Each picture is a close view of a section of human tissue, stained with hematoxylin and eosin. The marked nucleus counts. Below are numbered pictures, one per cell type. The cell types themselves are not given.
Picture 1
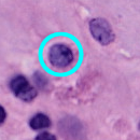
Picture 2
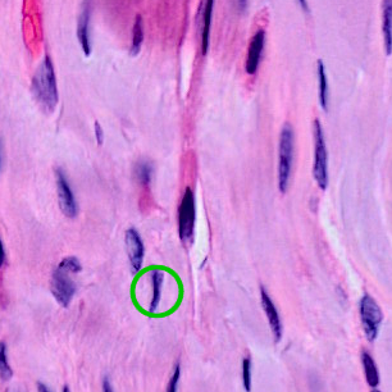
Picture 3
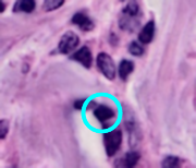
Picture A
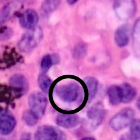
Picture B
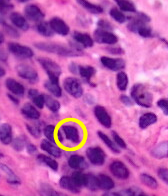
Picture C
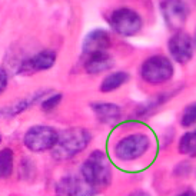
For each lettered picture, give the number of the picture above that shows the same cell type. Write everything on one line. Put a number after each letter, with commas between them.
A 3, B 3, C 1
